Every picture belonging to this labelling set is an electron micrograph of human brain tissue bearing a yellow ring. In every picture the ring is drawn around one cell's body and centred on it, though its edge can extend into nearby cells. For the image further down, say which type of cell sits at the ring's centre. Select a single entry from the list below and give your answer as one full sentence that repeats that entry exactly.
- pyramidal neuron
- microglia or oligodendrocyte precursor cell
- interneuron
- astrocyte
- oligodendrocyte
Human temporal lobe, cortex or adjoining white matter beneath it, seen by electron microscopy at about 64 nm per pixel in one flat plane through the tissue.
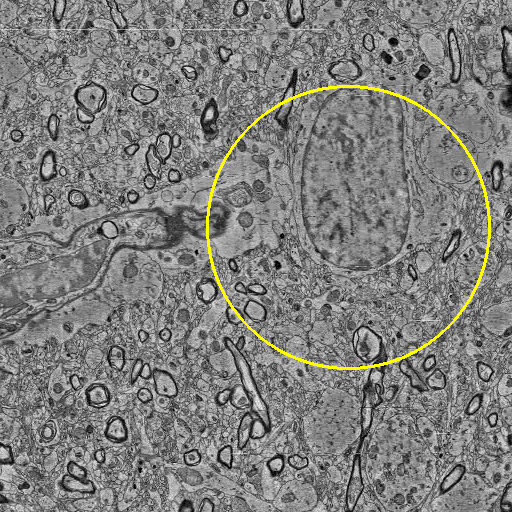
In the picture, a microglial cell or oligodendrocyte precursor cell is the cell at the centre of the yellow ring.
